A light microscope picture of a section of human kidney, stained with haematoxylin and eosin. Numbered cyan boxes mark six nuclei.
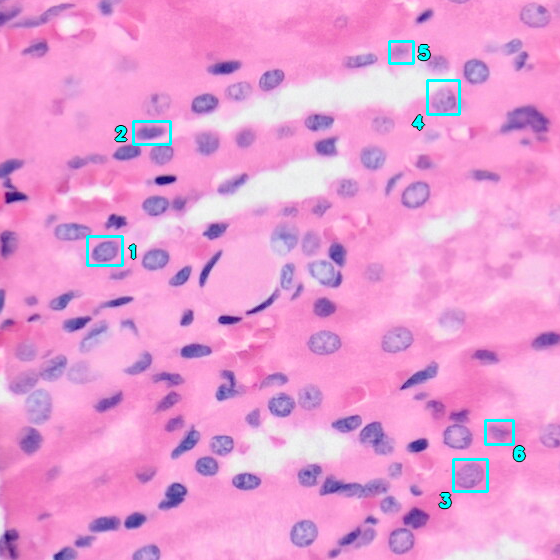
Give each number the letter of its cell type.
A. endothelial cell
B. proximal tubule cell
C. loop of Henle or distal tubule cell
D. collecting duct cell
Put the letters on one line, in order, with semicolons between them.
C; C; B; C; C; B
